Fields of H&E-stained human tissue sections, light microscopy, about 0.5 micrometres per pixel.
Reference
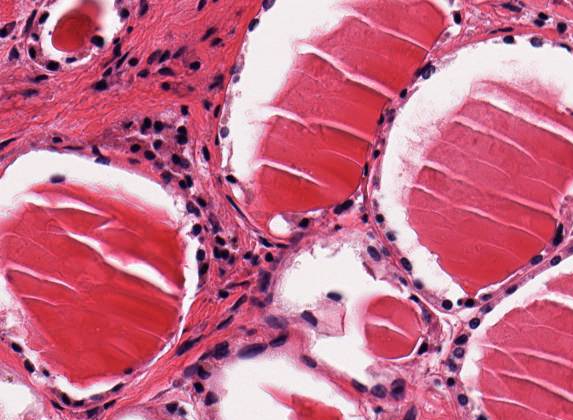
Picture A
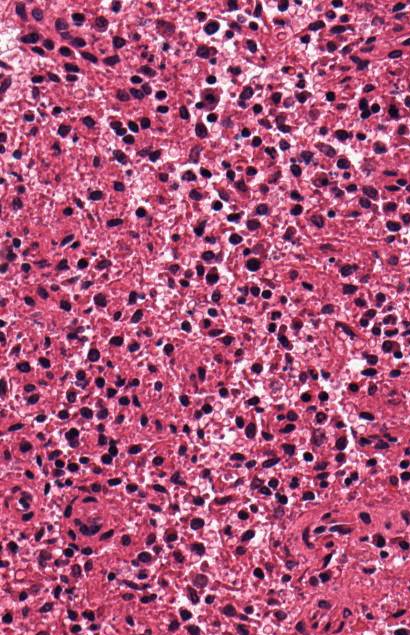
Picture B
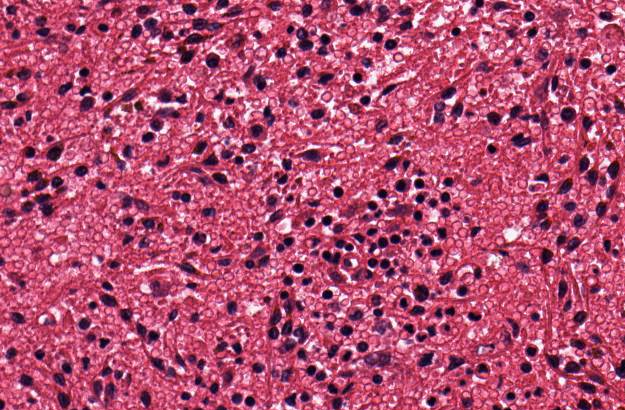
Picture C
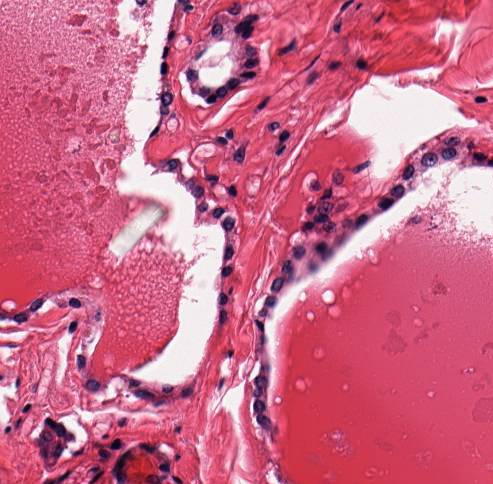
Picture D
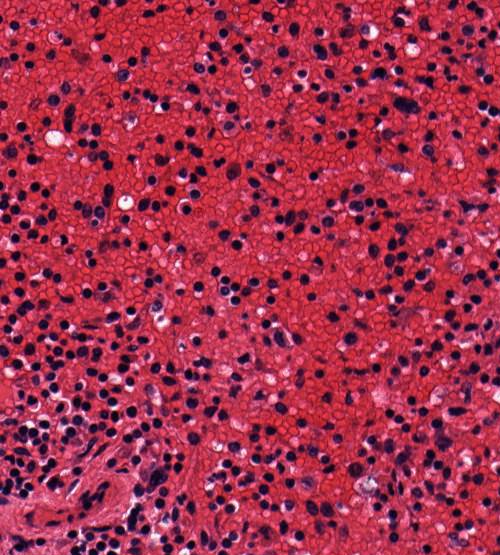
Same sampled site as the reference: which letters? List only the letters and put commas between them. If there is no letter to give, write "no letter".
C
